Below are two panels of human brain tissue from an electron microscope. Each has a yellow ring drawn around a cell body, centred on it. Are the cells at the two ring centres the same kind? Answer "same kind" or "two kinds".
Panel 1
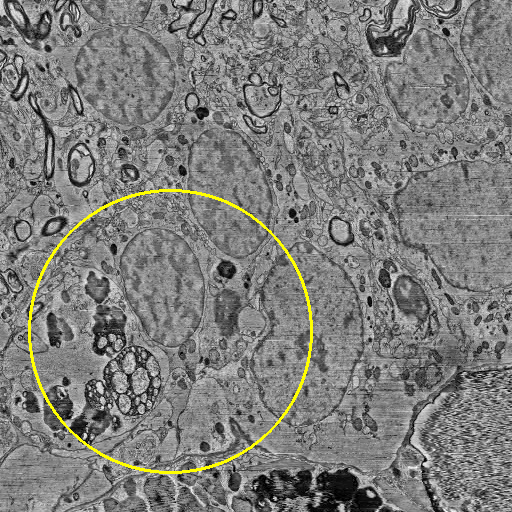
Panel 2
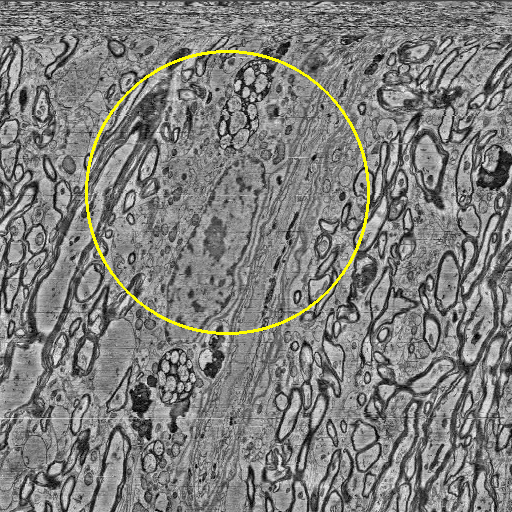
two kinds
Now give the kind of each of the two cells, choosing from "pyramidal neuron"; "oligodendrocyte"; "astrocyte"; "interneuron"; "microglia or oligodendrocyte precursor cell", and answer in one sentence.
The cell in the first picture is an oligodendrocyte, and the cell in the second is an astrocyte.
